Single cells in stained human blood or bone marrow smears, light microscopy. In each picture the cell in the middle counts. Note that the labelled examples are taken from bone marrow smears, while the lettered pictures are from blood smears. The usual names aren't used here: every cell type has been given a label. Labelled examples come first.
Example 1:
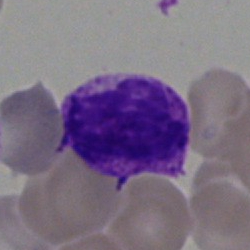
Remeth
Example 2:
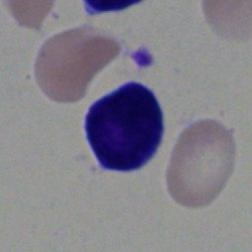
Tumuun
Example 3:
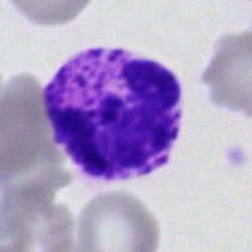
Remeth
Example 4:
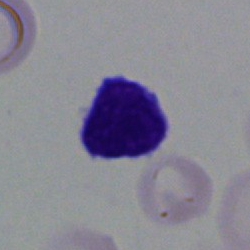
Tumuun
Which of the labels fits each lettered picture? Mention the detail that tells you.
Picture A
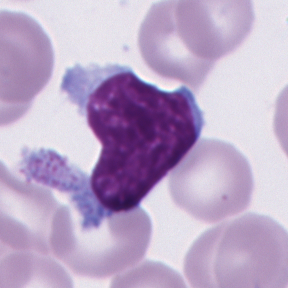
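Tumuun: A patch of fine purple granules lies at the lower left of the cell.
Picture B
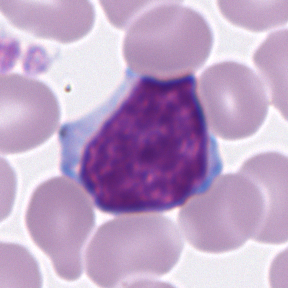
Tumuun: The nucleus is a single unlobed mass.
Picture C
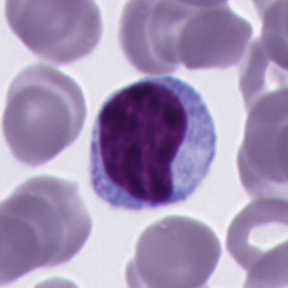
Tumuun: The nucleus has a notch on its right side that gives it a bean shape.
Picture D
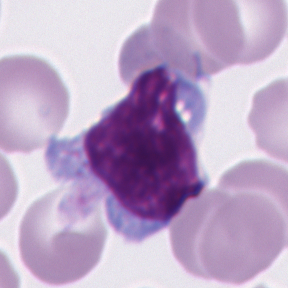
Tumuun: A few fine pink-purple granules lie in the cytoplasm on the left side.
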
